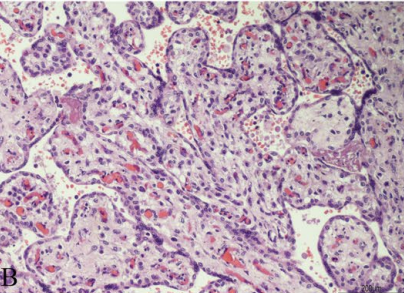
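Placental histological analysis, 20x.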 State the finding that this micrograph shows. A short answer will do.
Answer: Enlarged villi with irregular contour.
